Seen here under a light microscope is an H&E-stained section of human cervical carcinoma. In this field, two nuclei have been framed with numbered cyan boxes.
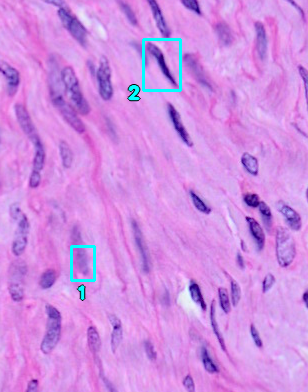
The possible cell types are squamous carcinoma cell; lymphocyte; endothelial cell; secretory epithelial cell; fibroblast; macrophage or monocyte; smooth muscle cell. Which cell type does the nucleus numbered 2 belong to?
fibroblast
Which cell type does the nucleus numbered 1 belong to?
smooth muscle cell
